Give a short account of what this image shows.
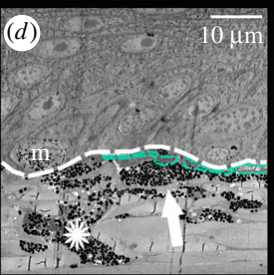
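The upper part shows closely packed epidermal cells with rounded nuclei and fine fibrous cytoplasm. A dashed white line marks the boundary at the base of the epidermis. Directly beneath it lies a thin band of cells, and below that dermal cells packed with black round granules form an irregular layer and scattered clusters reaching deeper into the dermis. The deep dermis has pale, loosely arranged layers.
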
